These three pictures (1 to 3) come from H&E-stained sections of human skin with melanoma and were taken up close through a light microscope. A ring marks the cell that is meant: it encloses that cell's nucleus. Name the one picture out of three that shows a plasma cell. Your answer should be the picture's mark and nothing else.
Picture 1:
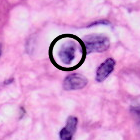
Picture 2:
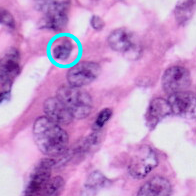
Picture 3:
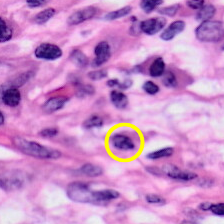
3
